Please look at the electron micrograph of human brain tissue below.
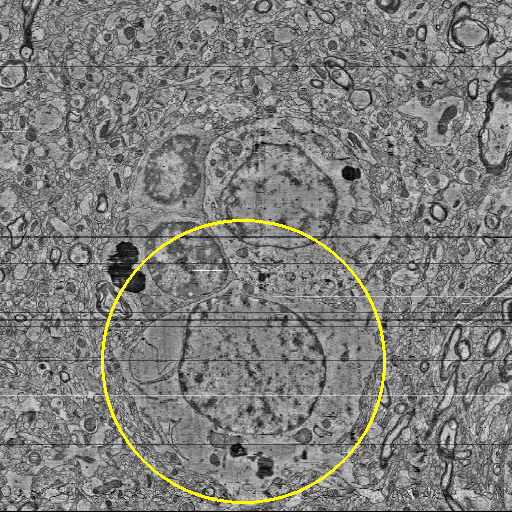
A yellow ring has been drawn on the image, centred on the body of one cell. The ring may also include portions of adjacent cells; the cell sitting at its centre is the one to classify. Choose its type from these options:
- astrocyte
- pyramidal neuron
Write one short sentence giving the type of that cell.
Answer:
The cell in the middle of the ring is an astrocyte.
